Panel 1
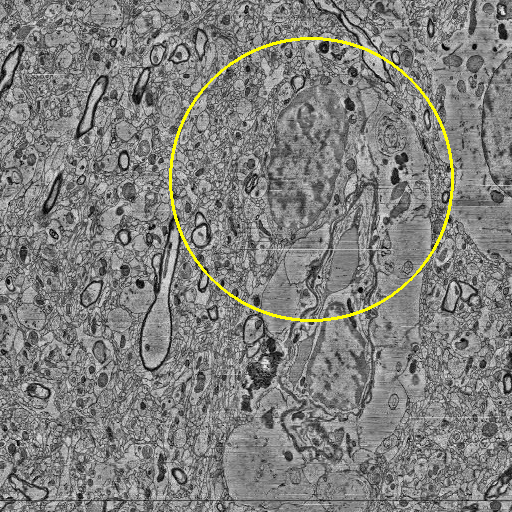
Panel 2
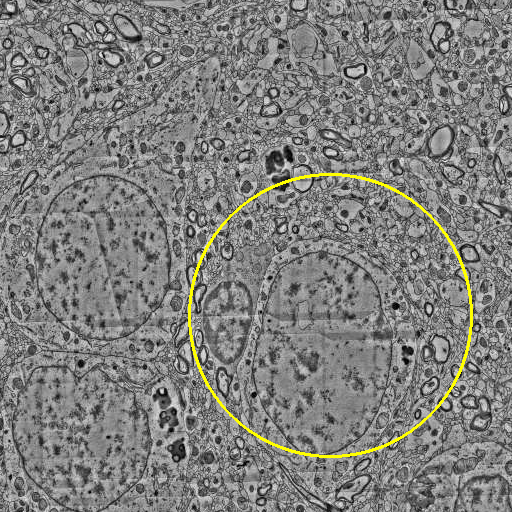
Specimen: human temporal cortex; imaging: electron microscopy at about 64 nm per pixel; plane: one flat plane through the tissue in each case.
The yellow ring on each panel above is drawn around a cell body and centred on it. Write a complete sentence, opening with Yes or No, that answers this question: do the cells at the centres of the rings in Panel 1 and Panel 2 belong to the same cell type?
No, the two cells belong to two cell types.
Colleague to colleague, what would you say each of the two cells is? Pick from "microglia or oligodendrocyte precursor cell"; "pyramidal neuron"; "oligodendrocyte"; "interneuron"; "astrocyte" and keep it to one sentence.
The cell in the first picture is an oligodendrocyte; the second picture's cell is a pyramidal neuron.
